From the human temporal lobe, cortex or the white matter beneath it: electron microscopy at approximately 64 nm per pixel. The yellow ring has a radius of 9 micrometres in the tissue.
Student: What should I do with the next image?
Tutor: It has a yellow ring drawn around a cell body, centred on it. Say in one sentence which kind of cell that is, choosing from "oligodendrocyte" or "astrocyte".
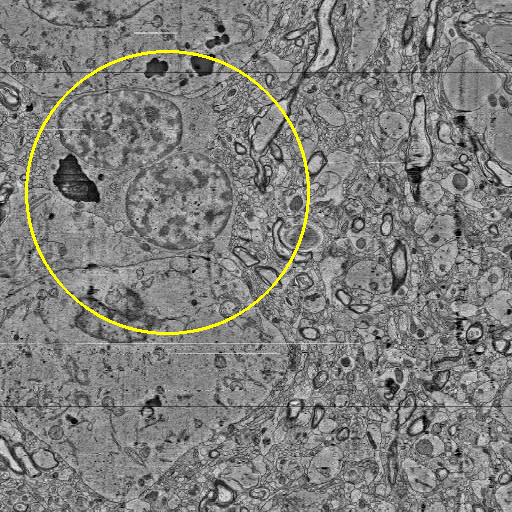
The ring's centre is occupied by an oligodendrocyte.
